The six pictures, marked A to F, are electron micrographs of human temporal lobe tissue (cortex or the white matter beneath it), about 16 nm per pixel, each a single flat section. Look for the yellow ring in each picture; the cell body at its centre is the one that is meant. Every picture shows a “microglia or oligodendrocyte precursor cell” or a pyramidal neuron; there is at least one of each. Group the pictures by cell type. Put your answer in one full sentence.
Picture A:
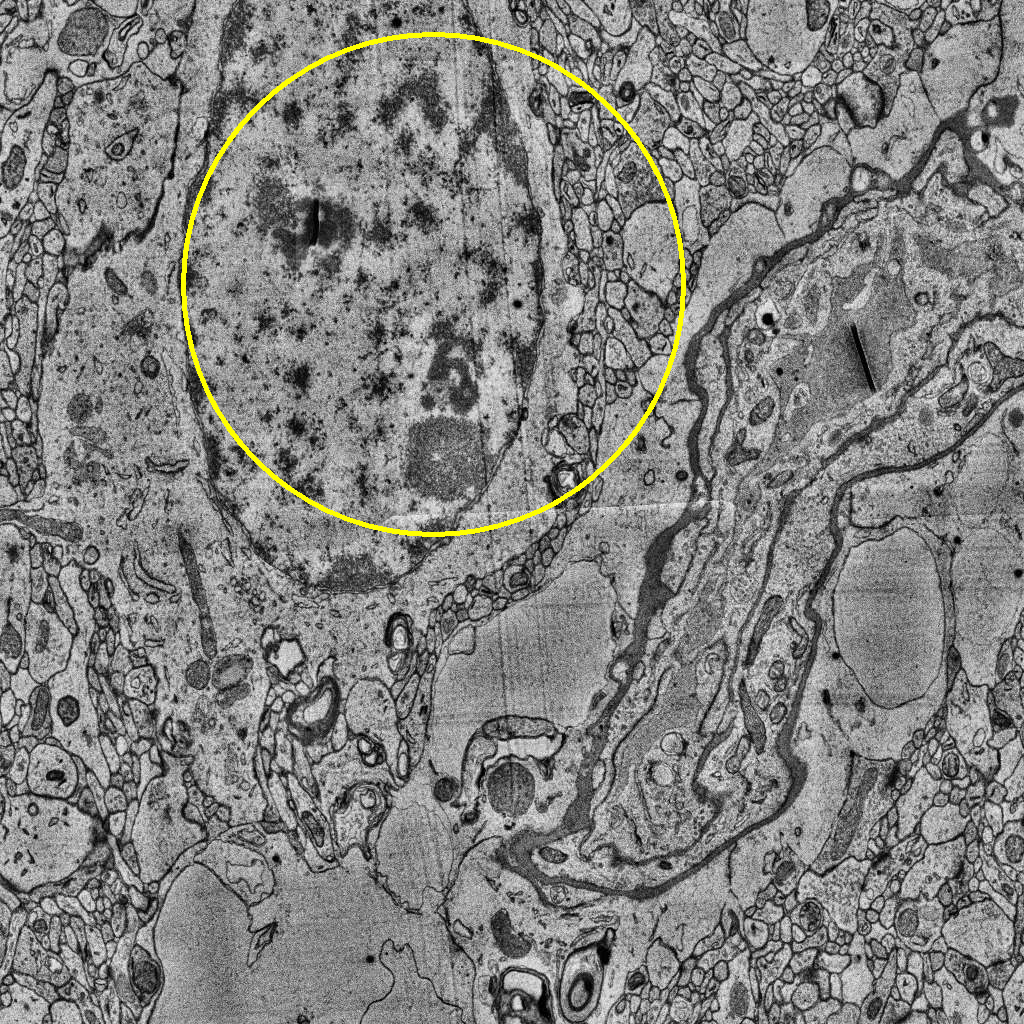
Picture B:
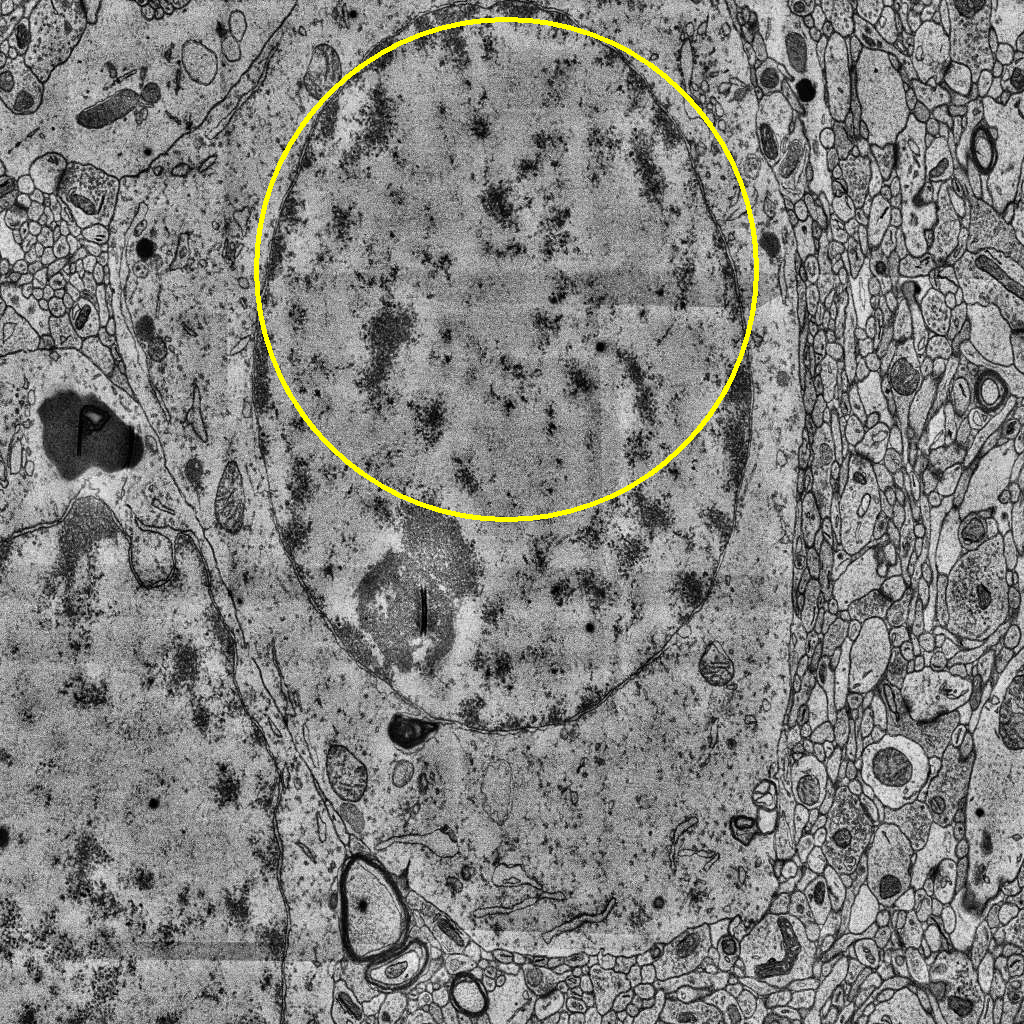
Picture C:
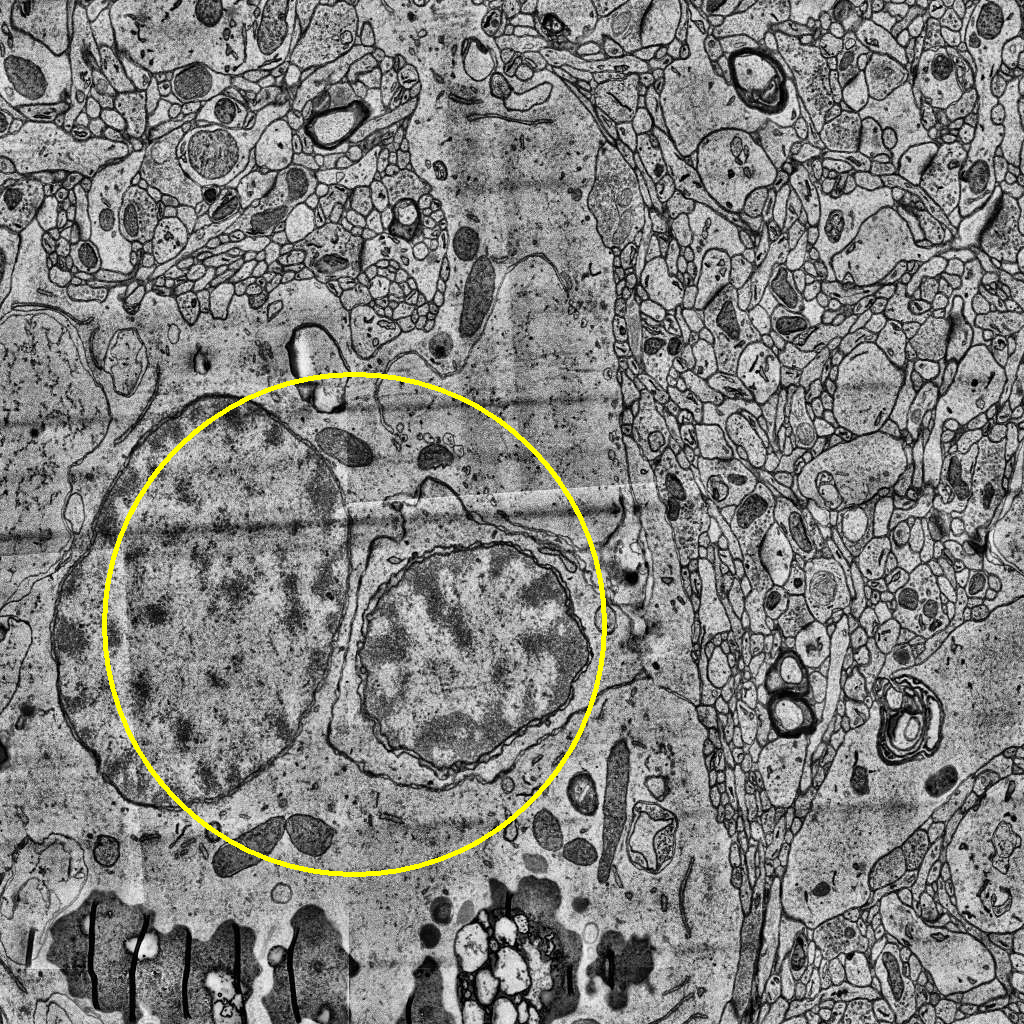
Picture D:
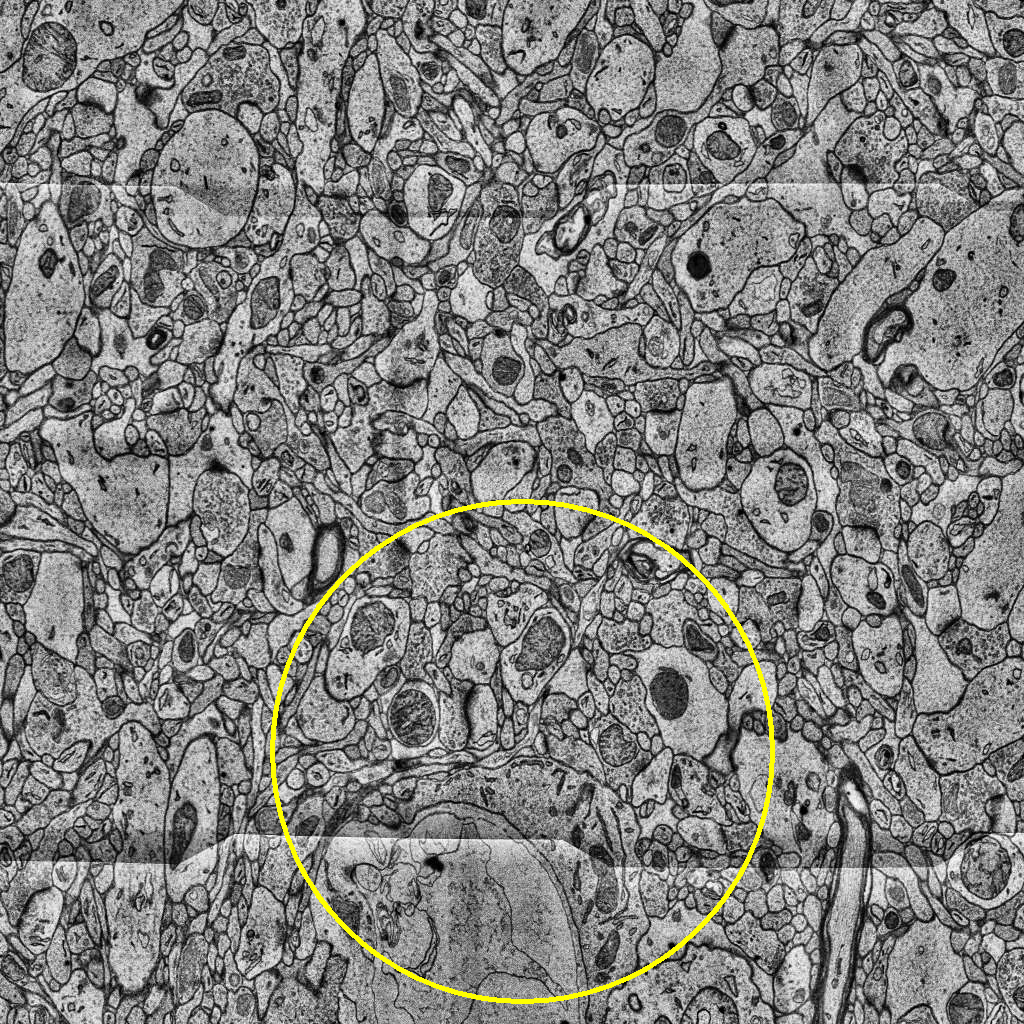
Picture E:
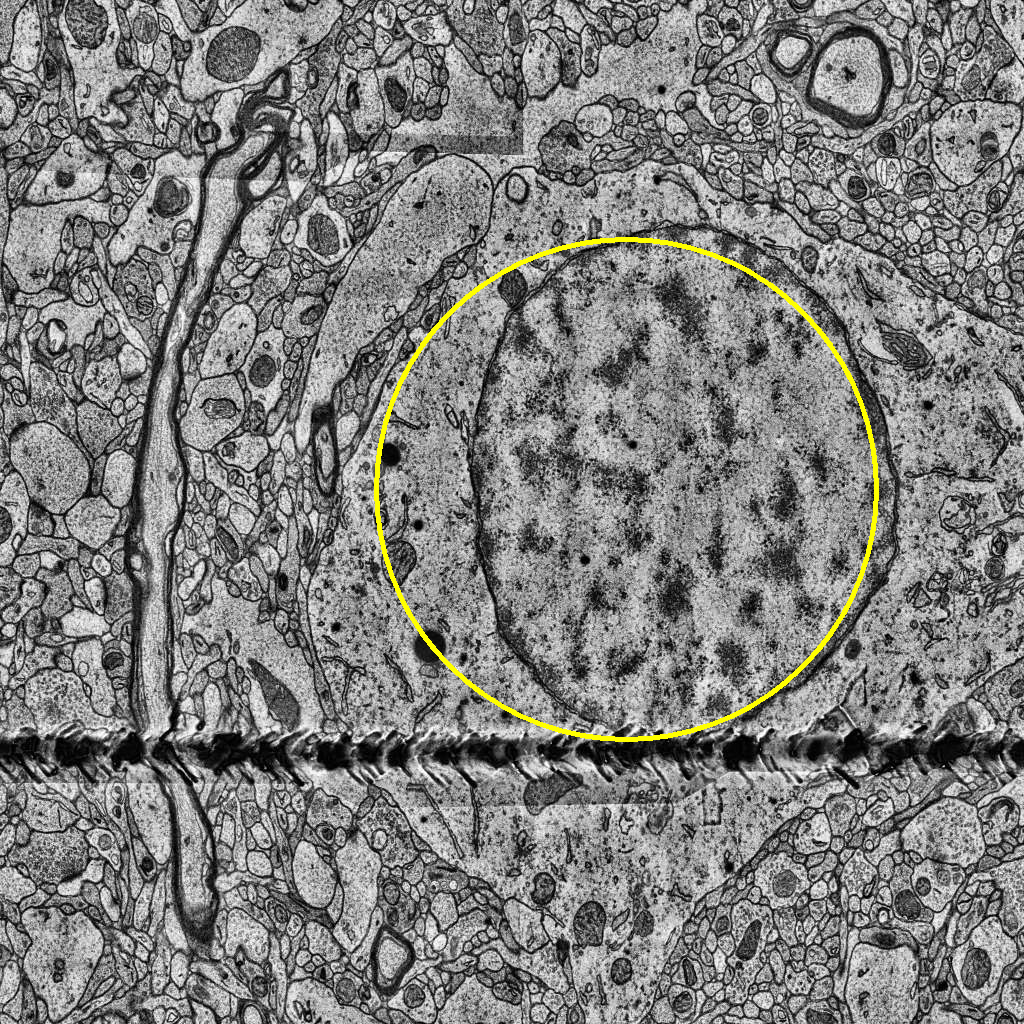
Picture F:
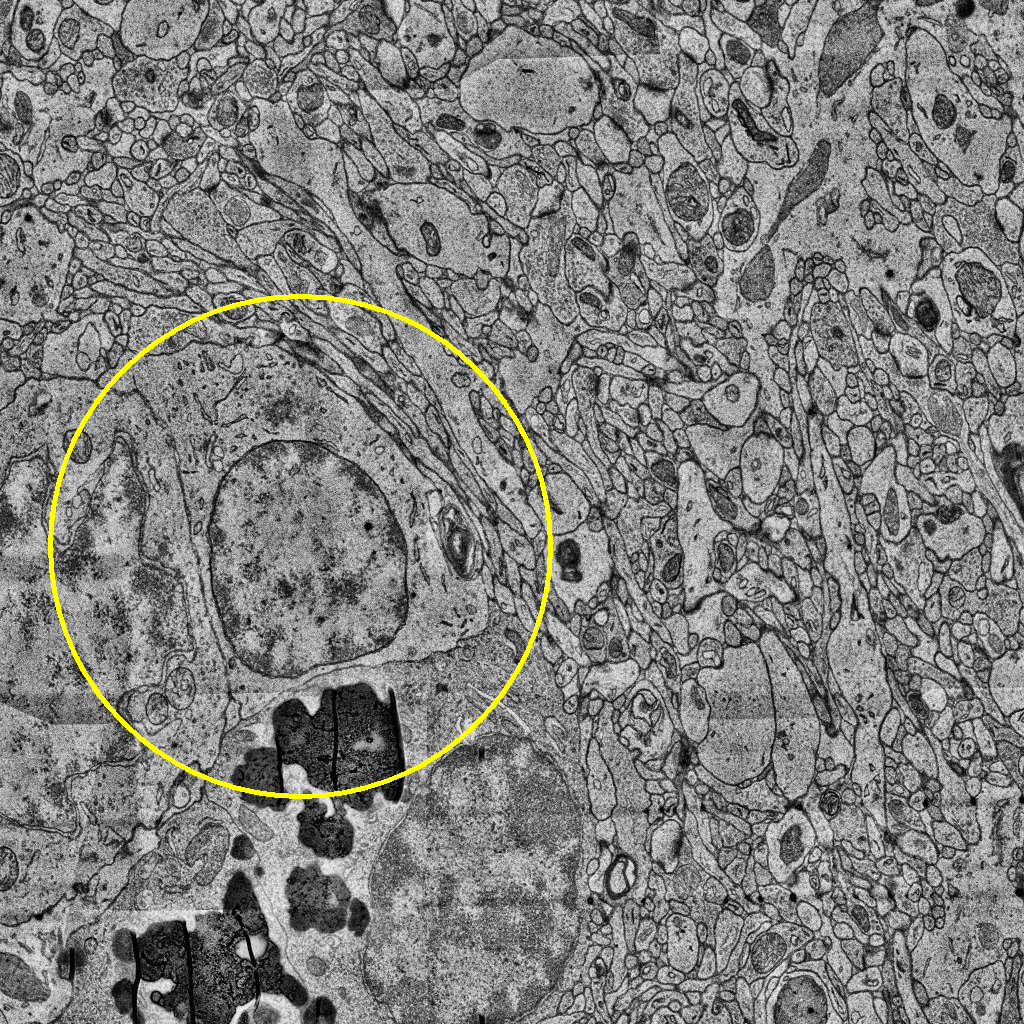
Pictures A, C, D and F show “microglia or oligodendrocyte precursor cells”; pictures B and E show pyramidal neurons.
